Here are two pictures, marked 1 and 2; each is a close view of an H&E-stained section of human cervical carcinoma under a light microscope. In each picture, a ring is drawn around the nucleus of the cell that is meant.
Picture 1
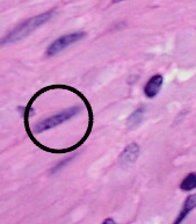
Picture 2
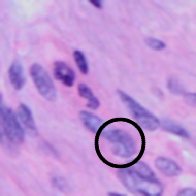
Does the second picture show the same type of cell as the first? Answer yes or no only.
no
